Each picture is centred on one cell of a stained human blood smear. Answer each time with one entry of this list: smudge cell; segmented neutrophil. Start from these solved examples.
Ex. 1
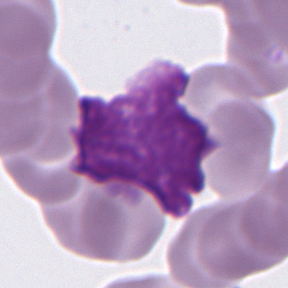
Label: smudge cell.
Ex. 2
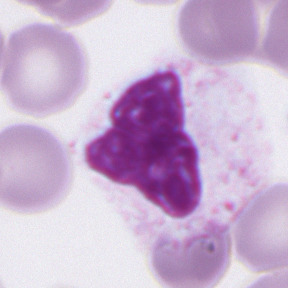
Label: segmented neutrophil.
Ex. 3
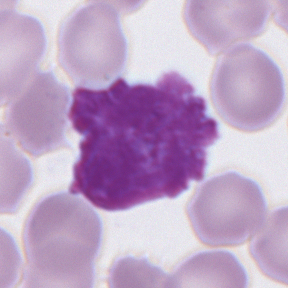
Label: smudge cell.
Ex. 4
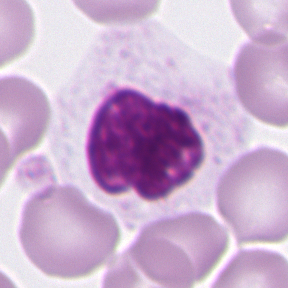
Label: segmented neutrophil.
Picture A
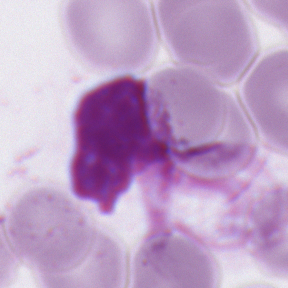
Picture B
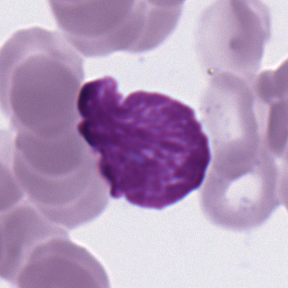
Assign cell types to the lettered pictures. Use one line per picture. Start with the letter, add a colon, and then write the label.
A: smudge cell.
B: smudge cell.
